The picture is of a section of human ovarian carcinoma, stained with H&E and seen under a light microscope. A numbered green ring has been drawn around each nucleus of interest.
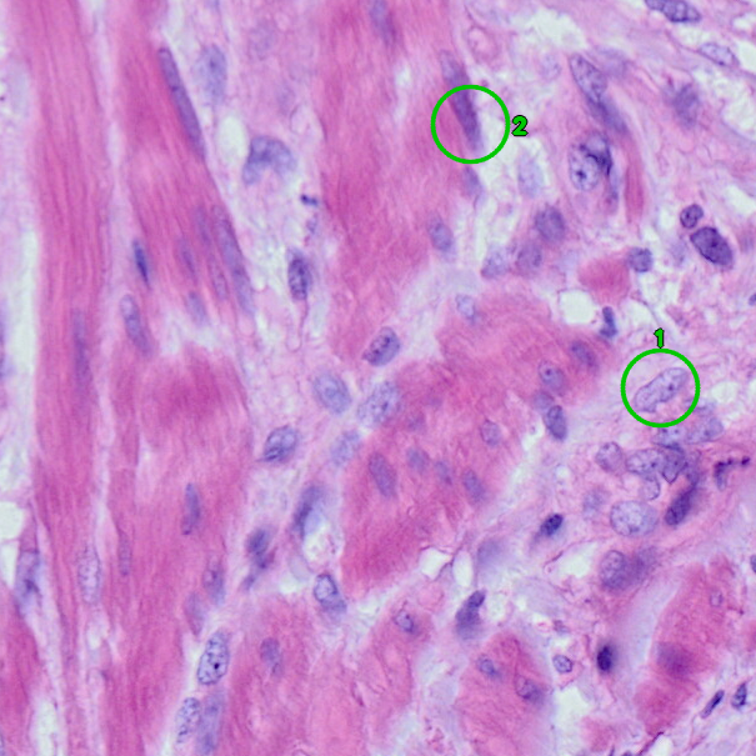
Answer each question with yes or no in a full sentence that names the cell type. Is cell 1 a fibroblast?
Yes, the number 1 belongs to a fibroblast.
